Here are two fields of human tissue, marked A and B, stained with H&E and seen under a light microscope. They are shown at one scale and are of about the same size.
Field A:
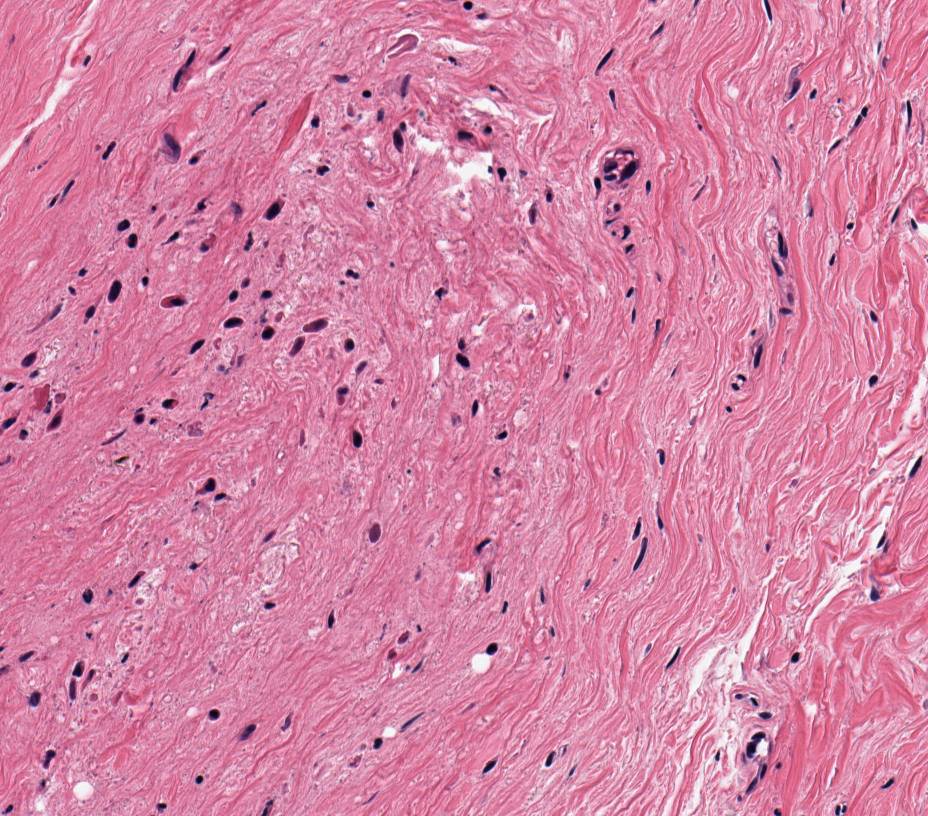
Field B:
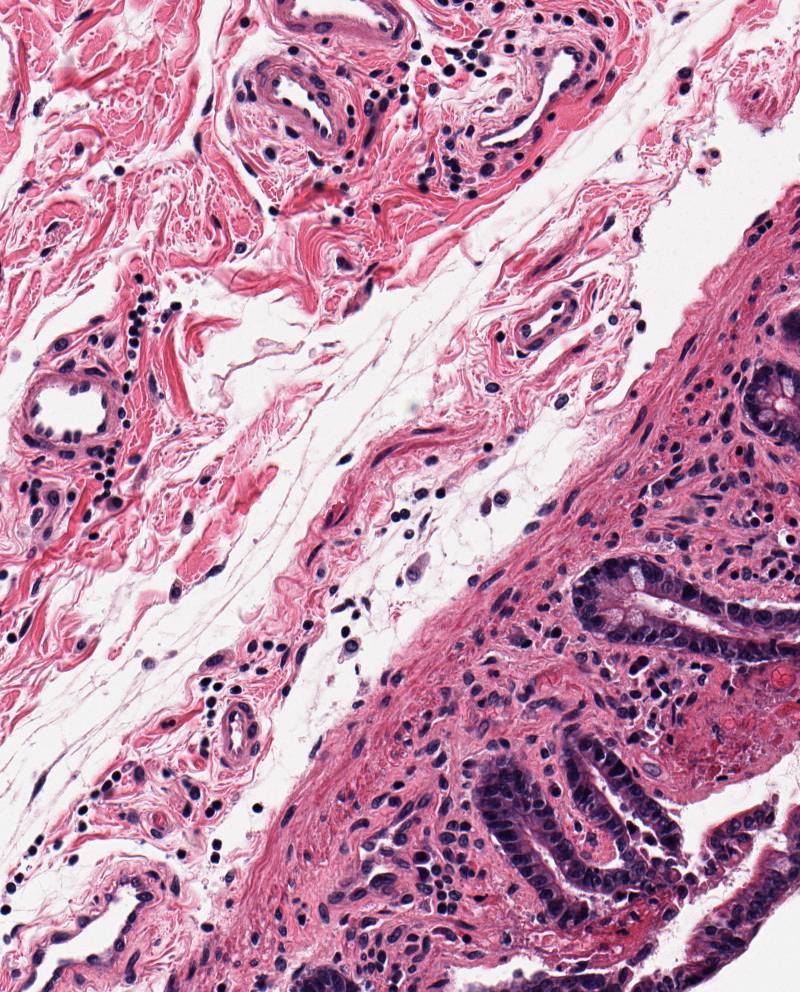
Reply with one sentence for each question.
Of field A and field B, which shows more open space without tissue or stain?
It is field B in which white space covers the larger part.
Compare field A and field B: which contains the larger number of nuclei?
There are more nuclei in field B.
